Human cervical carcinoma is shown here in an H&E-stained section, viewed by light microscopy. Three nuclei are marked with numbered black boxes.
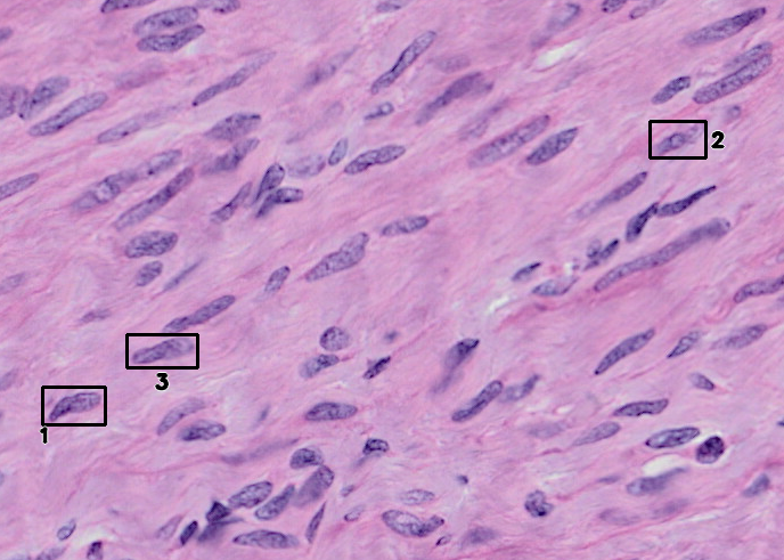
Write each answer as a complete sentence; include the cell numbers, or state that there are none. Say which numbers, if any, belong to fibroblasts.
The cells to which the numbers 1 and 3 refer are fibroblasts.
